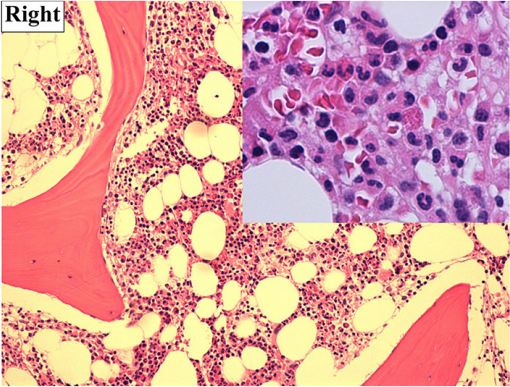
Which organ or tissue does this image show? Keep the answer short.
Bone marrow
